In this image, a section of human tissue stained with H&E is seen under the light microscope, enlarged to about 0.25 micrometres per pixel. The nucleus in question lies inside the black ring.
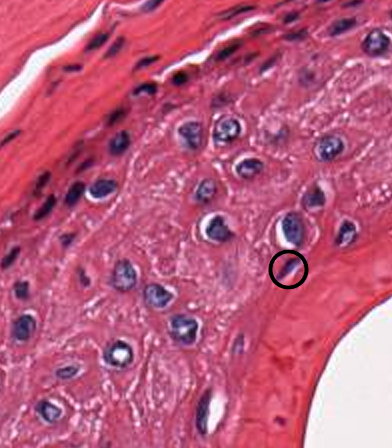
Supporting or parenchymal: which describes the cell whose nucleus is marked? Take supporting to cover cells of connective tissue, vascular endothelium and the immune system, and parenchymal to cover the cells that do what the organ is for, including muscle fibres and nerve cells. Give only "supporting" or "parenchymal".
parenchymal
